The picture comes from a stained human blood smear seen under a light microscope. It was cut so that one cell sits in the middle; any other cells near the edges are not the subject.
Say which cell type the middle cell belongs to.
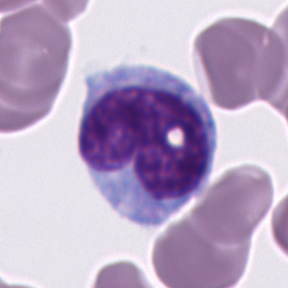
monocyte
